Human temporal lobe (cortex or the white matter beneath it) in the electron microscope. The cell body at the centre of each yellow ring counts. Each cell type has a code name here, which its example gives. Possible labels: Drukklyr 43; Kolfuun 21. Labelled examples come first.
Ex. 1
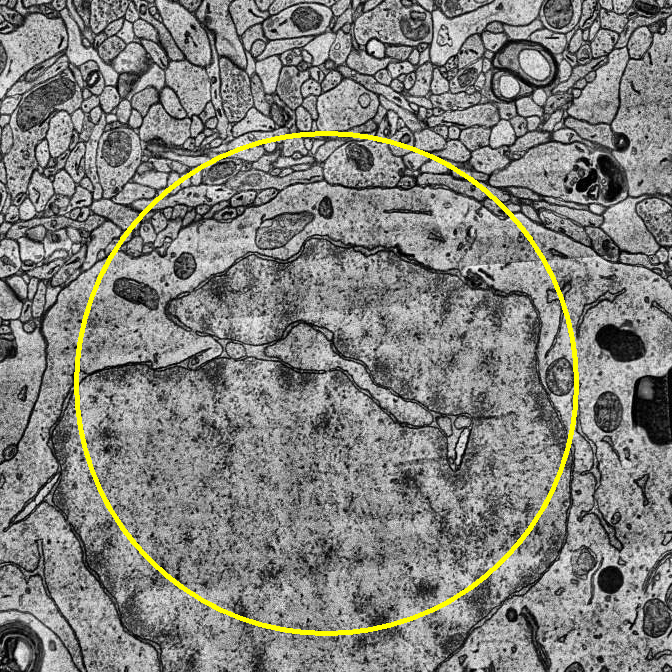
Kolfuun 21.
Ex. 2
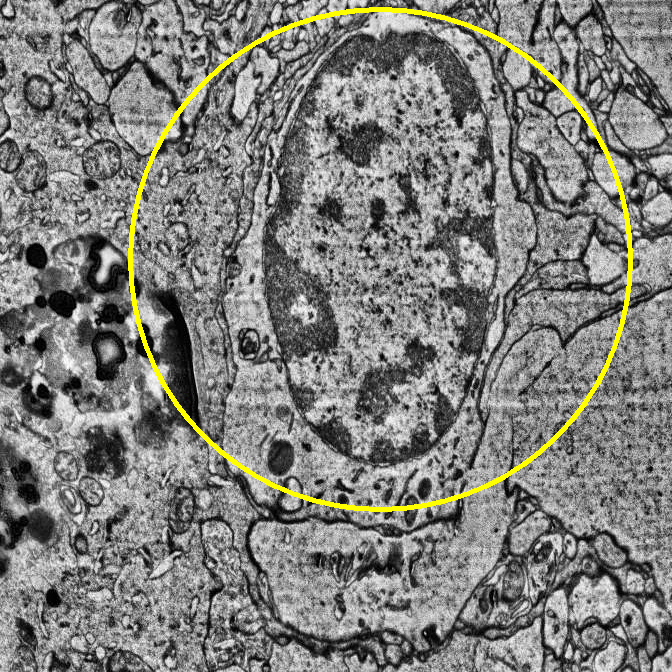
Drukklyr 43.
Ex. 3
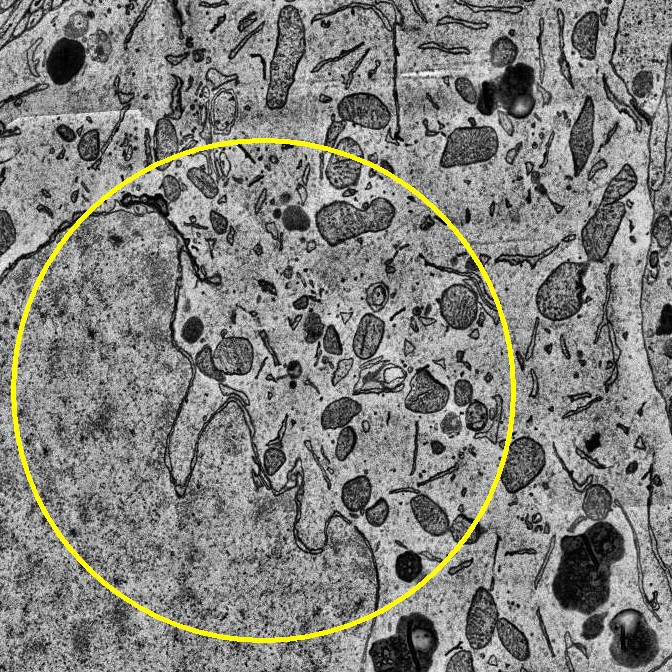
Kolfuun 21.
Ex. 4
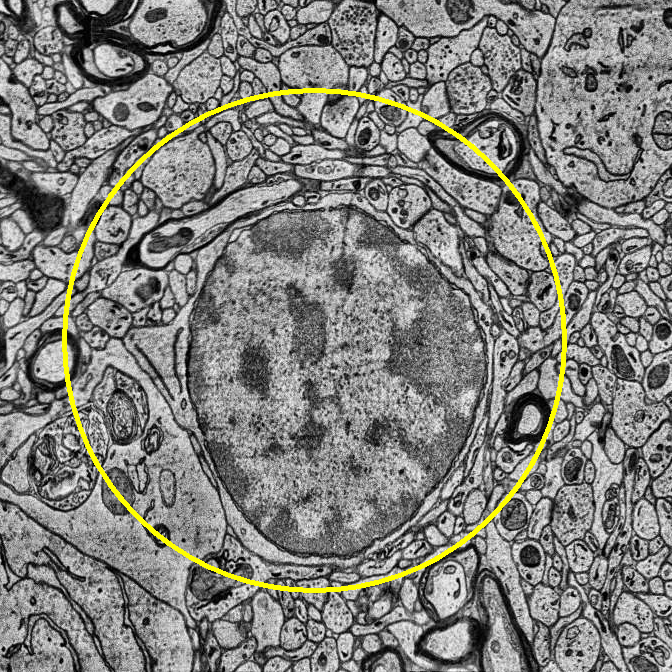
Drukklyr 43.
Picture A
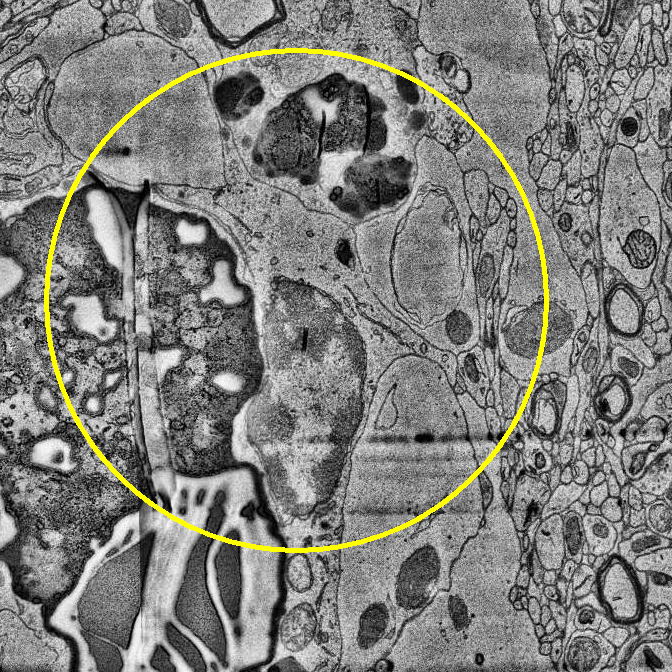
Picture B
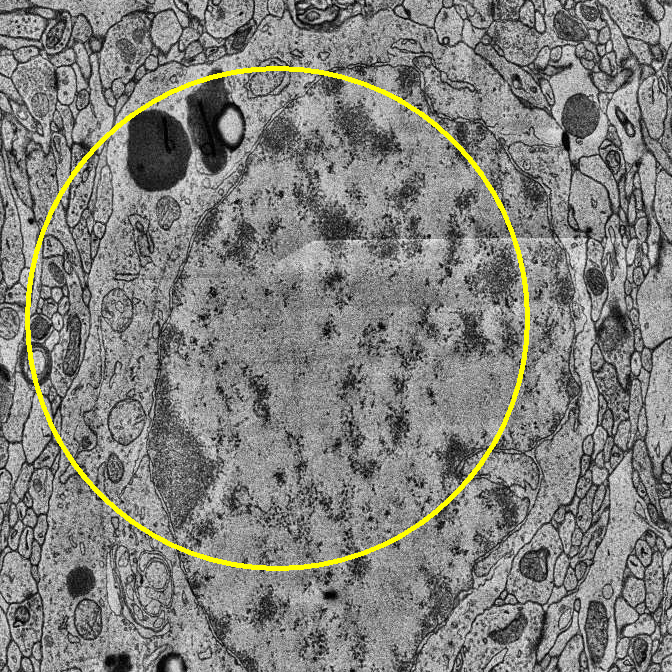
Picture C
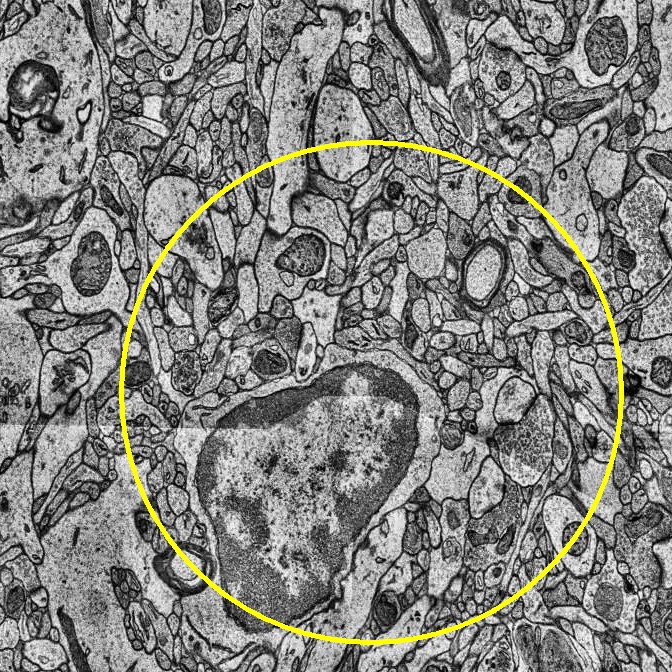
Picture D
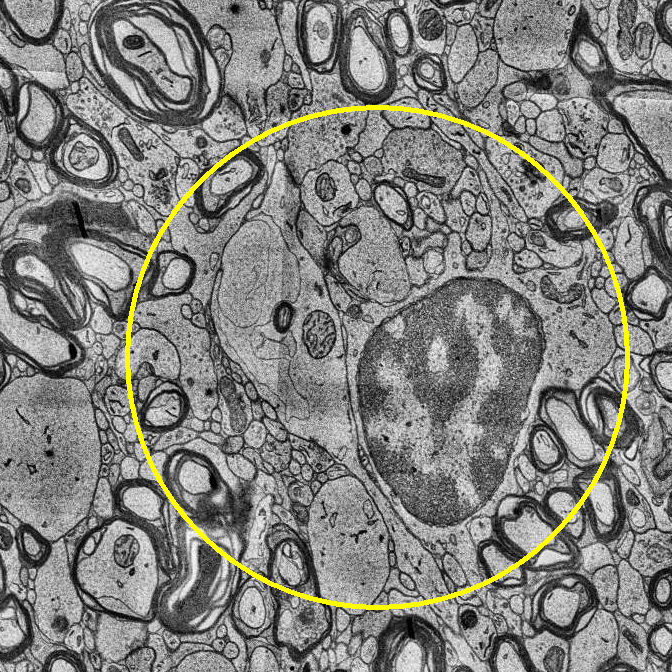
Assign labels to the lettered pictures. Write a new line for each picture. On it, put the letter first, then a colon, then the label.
A: Drukklyr 43.
B: Kolfuun 21.
C: Drukklyr 43.
D: Drukklyr 43.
